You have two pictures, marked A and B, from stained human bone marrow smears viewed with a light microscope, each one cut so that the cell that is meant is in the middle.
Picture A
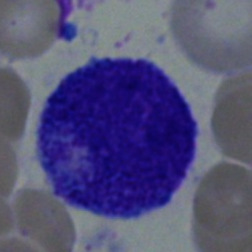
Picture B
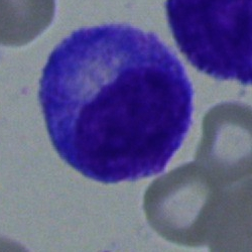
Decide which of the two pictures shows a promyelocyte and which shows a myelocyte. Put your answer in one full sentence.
In picture A the cell is a promyelocyte; in picture B, a myelocyte.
